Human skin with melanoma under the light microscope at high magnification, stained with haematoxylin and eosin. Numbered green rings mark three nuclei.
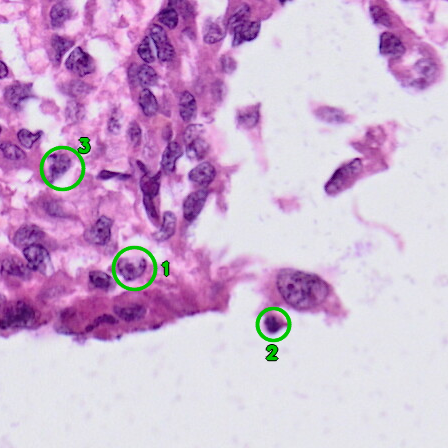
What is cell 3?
melanoma cell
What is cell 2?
lymphocyte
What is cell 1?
melanoma cell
